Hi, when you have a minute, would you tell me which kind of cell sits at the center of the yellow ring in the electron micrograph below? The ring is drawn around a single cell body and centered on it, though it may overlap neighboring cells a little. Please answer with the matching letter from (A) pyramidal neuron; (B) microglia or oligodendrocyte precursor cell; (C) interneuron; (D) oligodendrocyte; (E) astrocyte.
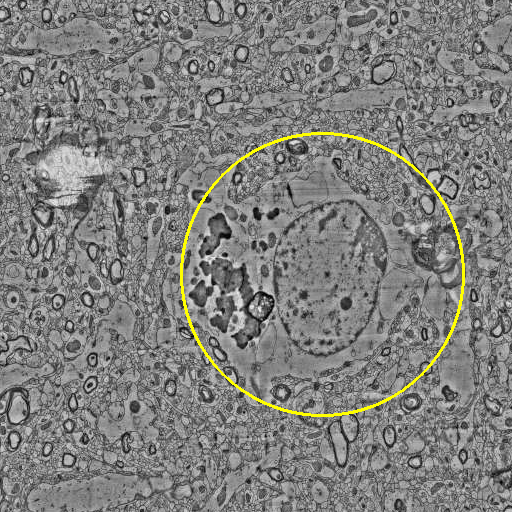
E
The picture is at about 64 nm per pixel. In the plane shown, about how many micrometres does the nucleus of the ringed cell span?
In this plane the nucleus measures roughly 10 by 7 micrometers.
